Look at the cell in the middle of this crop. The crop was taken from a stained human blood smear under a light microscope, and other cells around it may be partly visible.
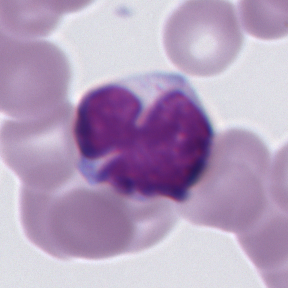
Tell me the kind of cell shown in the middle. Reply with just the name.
large granular lymphocyte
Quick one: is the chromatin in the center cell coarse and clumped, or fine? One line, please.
What stands out is fine chromatin lacking any coarse clumps.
